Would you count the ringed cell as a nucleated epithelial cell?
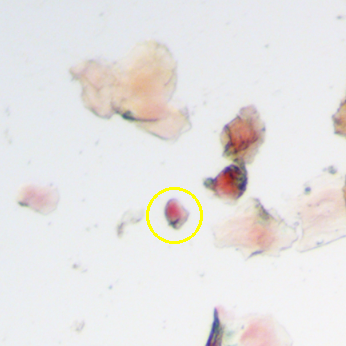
Yes, I would count it as a nucleated epithelial cell.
